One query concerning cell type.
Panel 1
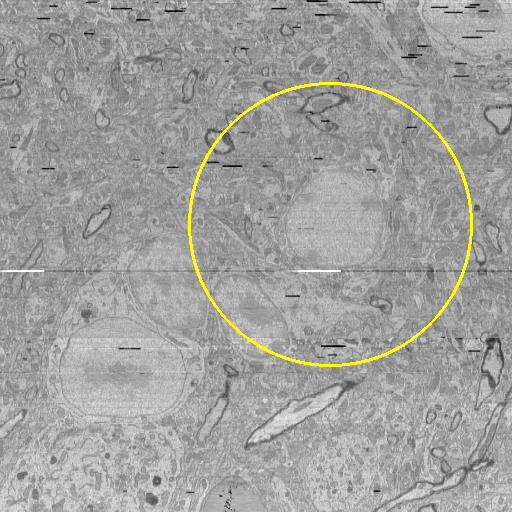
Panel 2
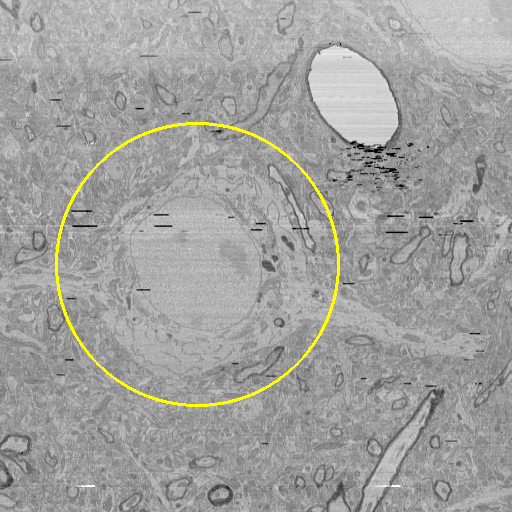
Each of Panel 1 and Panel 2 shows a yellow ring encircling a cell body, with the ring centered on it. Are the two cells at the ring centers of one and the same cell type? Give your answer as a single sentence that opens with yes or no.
No, the cell centered in Panel 1 and the one in Panel 2 are of two types.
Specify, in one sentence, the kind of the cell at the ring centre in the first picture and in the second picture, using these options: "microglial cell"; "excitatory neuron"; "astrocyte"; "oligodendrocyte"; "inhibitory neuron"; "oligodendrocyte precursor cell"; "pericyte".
So the first is an astrocyte, the second an excitatory neuron.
